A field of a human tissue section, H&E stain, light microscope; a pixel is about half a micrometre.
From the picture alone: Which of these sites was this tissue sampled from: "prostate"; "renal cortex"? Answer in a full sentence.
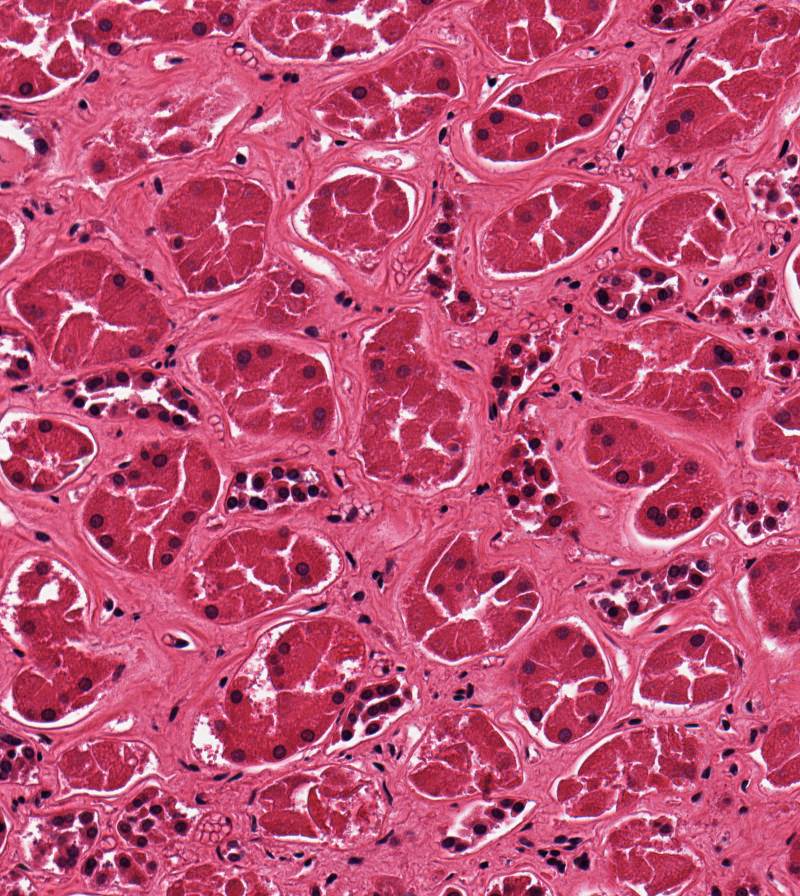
The site this tissue was sampled from is the renal cortex.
